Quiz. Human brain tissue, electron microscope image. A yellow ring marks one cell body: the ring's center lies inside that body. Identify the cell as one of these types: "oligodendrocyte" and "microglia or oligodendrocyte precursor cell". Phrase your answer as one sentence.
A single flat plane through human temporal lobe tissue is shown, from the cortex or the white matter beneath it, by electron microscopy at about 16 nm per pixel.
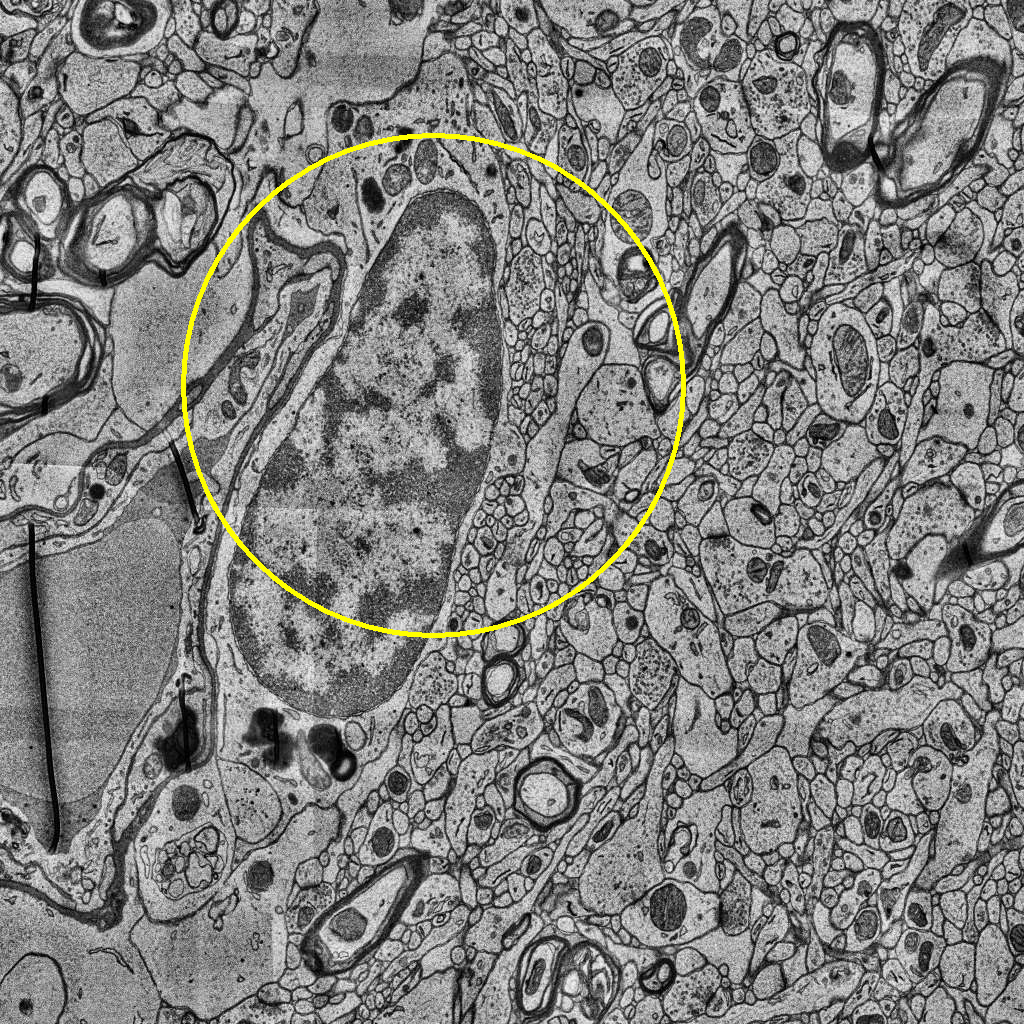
At the center of the ring sits a microglial cell or oligodendrocyte precursor cell.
